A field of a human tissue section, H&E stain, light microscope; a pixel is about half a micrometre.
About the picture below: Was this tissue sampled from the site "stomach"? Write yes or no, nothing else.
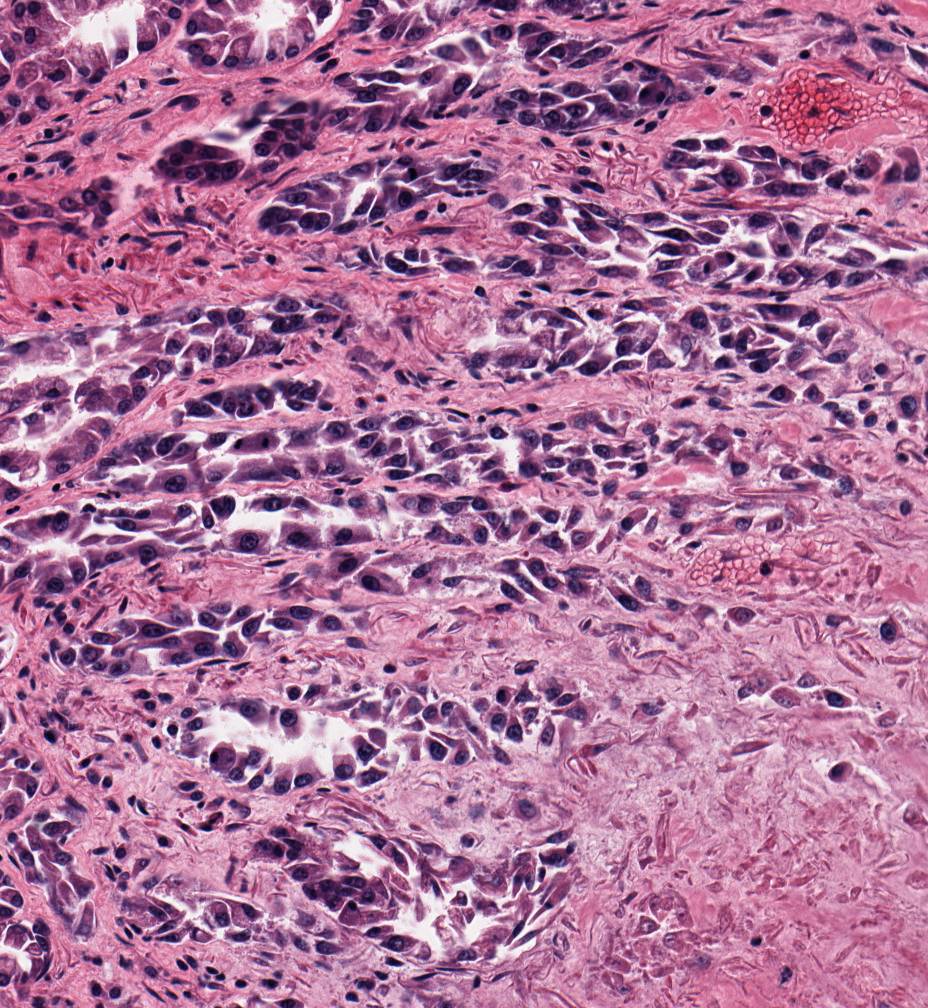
yes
